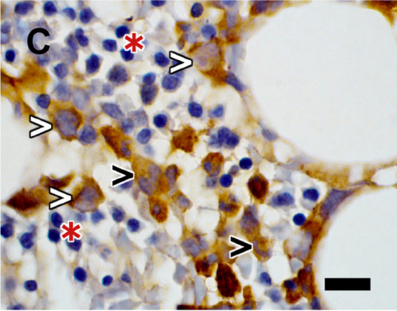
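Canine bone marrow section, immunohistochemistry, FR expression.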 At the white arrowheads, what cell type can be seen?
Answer: Early myeloid precursor cells.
